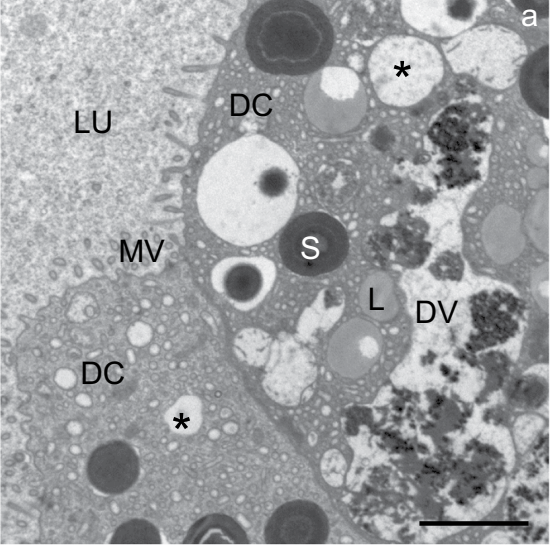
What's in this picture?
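Slender microvilli project from the apical cell surfaces into the lumen. The cytoplasm is crowded with small vesicles, round electron-dense spherites with concentric layering, and homogeneous grey lipid droplets. Toward the right, large digestive vacuoles hold pale content with irregular, dark, flocculent material. Several round vacuoles with pale, almost empty content lie among the dense spherites.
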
